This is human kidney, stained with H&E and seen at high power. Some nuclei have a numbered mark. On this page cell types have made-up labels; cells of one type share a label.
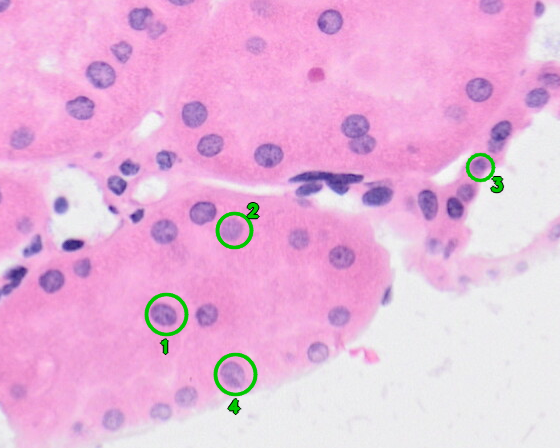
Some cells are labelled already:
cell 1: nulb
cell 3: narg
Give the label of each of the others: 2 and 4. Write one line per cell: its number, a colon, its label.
2: nulb
4: nulb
